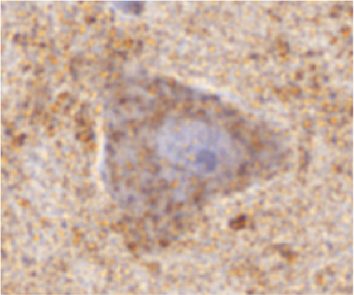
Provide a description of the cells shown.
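This is a close view of a single large neuron in brain tissue. A thin pale rim separates the cell body from the neuropil around it. The surrounding tissue is a fine mesh of brown dots on a light background.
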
